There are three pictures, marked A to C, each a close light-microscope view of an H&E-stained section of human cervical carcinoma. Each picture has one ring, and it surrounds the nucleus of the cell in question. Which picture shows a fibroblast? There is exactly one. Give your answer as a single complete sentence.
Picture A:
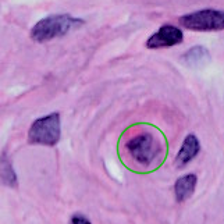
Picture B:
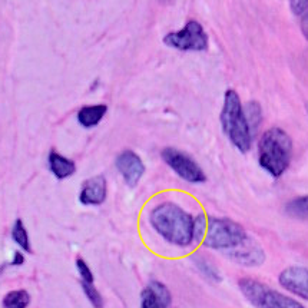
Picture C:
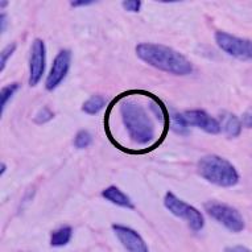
Picture C shows the fibroblast.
